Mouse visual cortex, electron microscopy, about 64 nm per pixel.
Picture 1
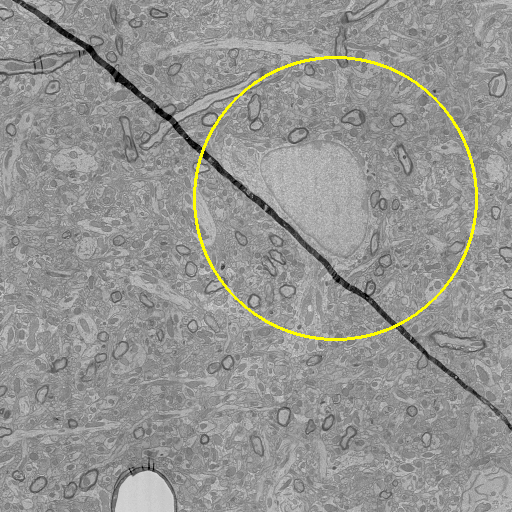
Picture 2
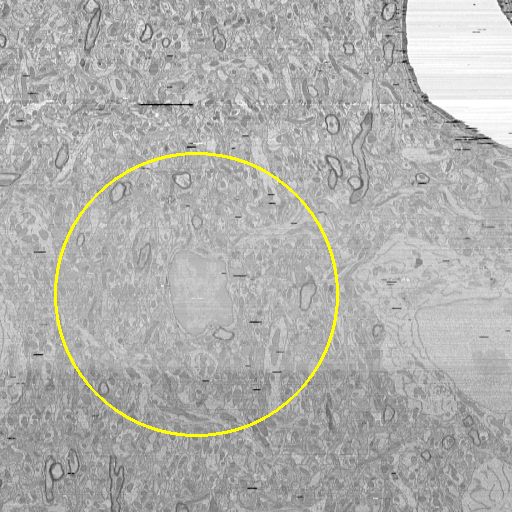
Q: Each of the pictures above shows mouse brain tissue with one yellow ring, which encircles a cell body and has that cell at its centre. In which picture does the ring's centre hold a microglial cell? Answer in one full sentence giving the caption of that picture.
Picture 2 is the one whose ring is centred on the cell in question.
